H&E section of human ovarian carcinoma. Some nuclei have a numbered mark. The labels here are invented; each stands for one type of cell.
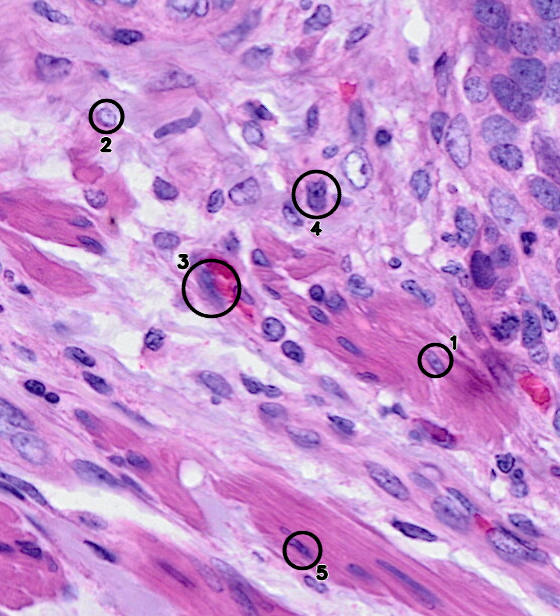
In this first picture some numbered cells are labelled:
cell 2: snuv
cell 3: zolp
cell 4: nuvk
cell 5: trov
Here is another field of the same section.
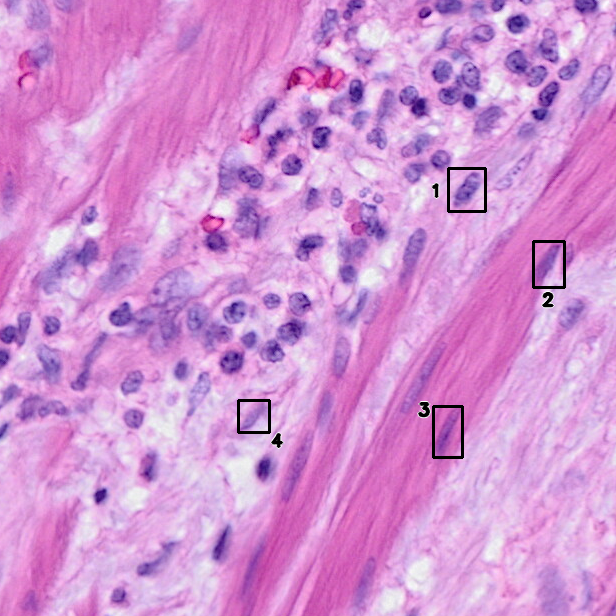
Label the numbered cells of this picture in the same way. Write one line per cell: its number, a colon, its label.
1: nuvk
2: trov
3: trov
4: snuv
